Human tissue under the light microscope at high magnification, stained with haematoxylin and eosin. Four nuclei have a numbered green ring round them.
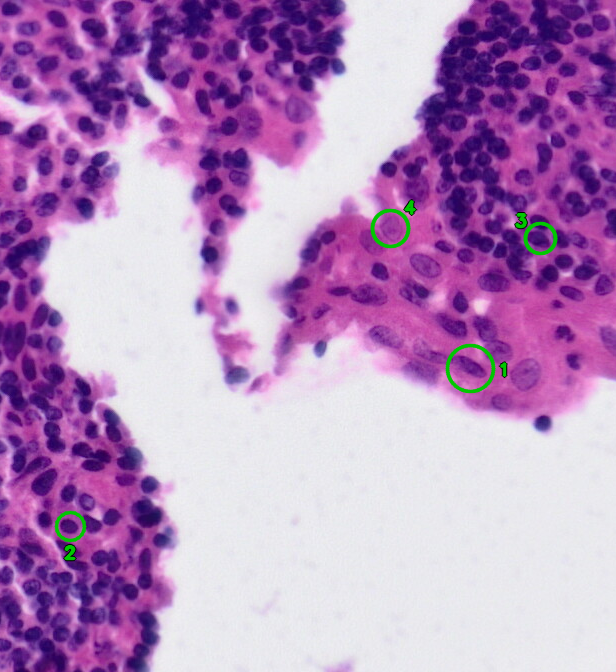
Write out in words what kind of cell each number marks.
Cell 1 is a squamous epithelial cell, cell 2 is a plasma cell, cell 3 is a plasma cell and cell 4 is a squamous epithelial cell.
